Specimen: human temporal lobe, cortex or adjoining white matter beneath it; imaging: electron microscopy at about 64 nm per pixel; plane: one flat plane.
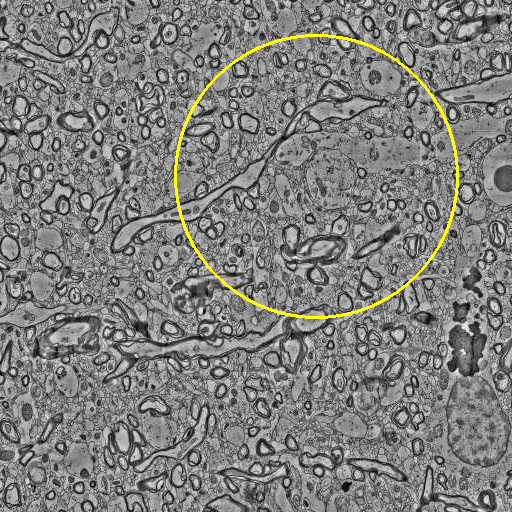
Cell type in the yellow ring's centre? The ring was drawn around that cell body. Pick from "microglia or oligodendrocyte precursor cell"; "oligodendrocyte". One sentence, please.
The ringed cell body is that of a microglial cell or oligodendrocyte precursor cell.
